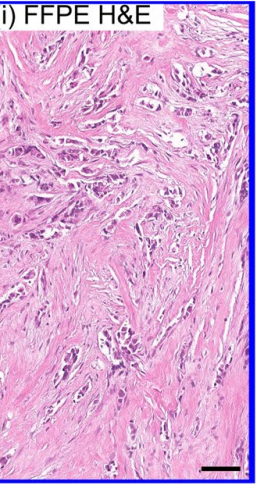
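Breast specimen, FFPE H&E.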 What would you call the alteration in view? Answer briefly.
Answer: invasive cancer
